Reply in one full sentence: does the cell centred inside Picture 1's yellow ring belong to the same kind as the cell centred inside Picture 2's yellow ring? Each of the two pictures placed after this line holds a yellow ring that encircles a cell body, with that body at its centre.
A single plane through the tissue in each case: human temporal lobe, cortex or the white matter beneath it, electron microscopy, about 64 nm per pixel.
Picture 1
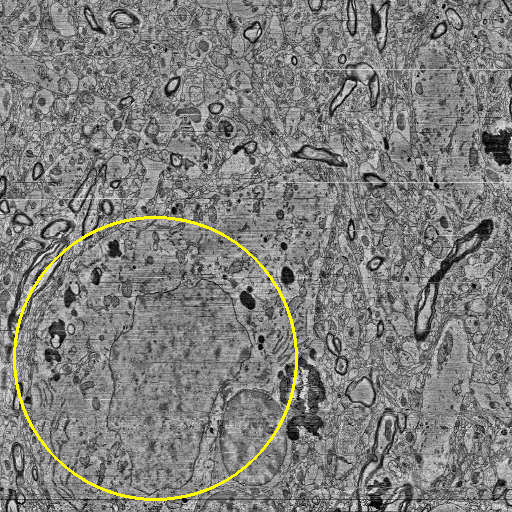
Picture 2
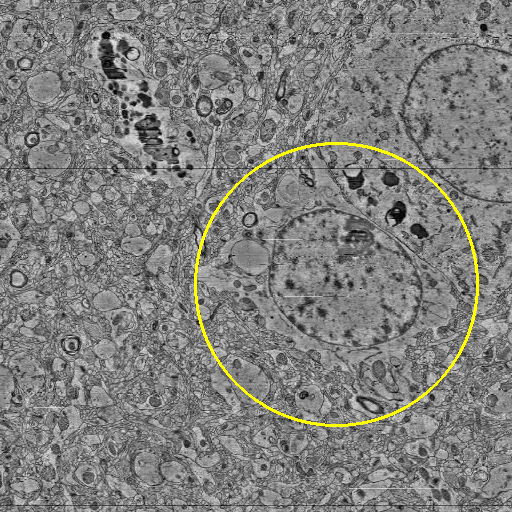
No, the ring-centred cells in Picture 1 and Picture 2 are of two separate kinds.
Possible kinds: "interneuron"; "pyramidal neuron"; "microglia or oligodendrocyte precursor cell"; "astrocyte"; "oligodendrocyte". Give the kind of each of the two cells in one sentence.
The cell in the second picture is an astrocyte, and that in the first is a pyramidal neuron.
